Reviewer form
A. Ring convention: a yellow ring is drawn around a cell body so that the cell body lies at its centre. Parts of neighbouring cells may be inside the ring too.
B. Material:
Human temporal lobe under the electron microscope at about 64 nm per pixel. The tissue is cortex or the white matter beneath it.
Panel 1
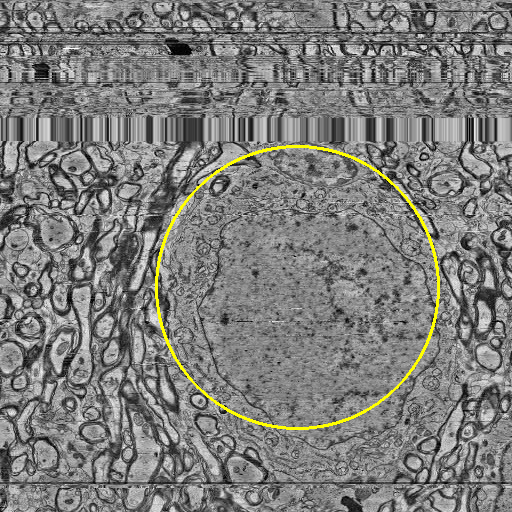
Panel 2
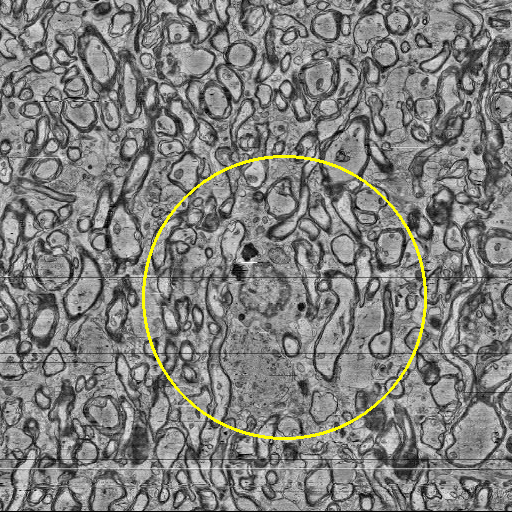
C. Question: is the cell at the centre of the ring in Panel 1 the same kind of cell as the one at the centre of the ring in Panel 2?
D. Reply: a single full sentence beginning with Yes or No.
No, the cells in Panel 1 and Panel 2 are two kinds of cell.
